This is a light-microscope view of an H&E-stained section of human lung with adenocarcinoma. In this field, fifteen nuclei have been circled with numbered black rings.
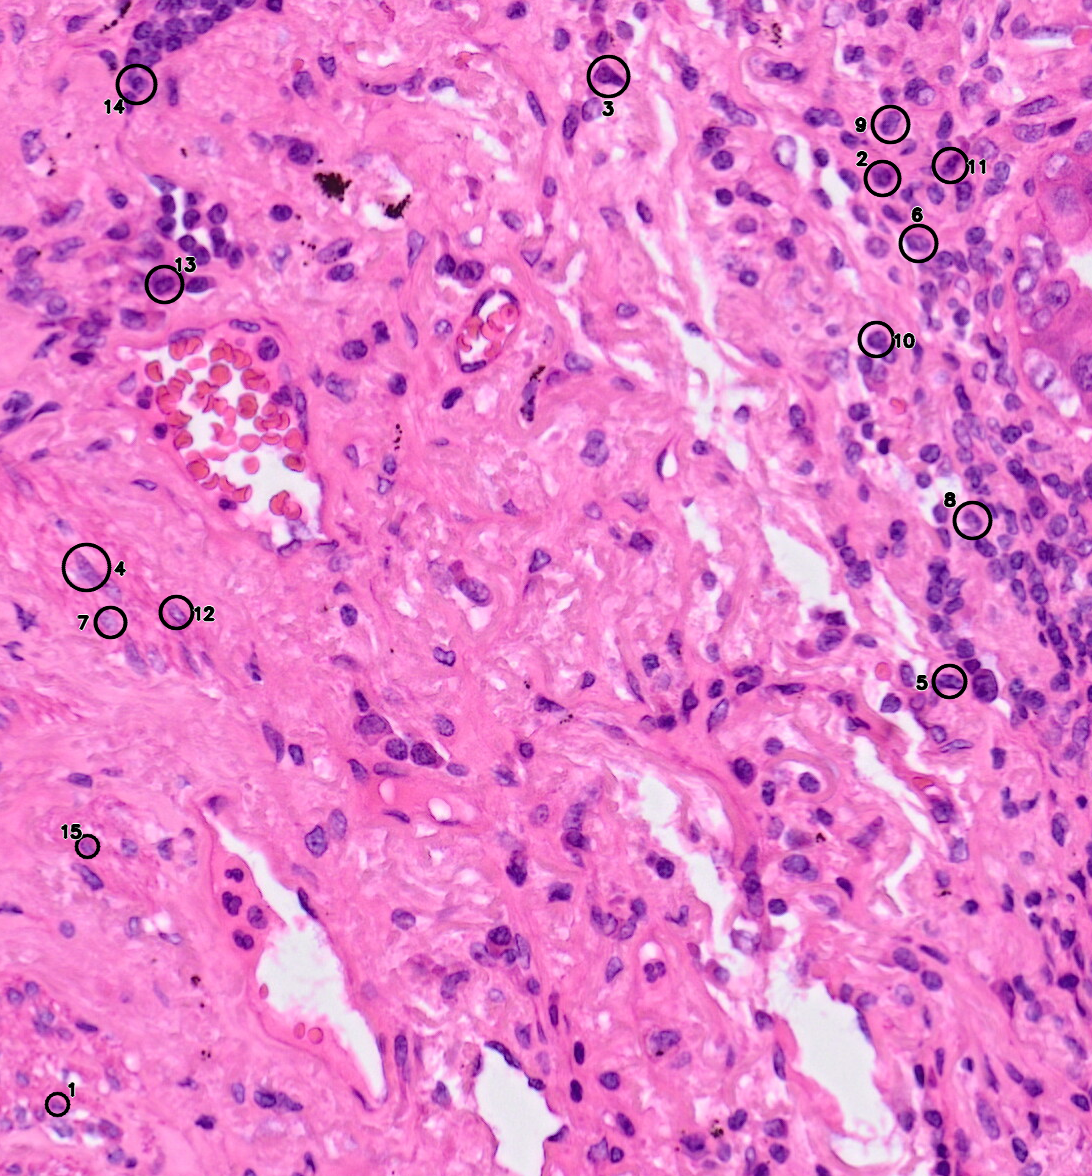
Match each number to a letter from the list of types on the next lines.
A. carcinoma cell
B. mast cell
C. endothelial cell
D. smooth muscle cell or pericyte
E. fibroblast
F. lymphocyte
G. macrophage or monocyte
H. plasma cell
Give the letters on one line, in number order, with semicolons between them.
D; H; H; D; F; F; D; F; F; F; H; D; H; F; D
